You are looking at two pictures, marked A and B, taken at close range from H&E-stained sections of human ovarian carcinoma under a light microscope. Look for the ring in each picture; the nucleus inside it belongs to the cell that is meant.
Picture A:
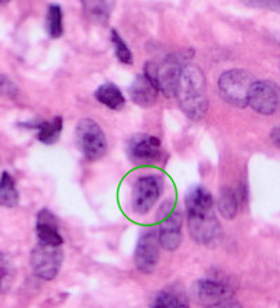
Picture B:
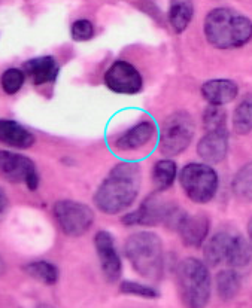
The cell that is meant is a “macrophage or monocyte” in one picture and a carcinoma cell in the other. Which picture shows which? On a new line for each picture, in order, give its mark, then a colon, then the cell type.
A: macrophage or monocyte
B: carcinoma cell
